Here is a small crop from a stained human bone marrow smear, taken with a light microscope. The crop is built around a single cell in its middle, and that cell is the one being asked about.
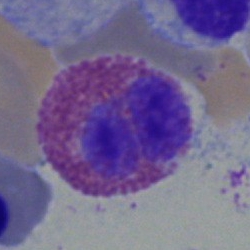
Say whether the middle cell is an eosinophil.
yes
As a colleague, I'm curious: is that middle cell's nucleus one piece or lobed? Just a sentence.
Two or more lobes make up the nucleus of this cell.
